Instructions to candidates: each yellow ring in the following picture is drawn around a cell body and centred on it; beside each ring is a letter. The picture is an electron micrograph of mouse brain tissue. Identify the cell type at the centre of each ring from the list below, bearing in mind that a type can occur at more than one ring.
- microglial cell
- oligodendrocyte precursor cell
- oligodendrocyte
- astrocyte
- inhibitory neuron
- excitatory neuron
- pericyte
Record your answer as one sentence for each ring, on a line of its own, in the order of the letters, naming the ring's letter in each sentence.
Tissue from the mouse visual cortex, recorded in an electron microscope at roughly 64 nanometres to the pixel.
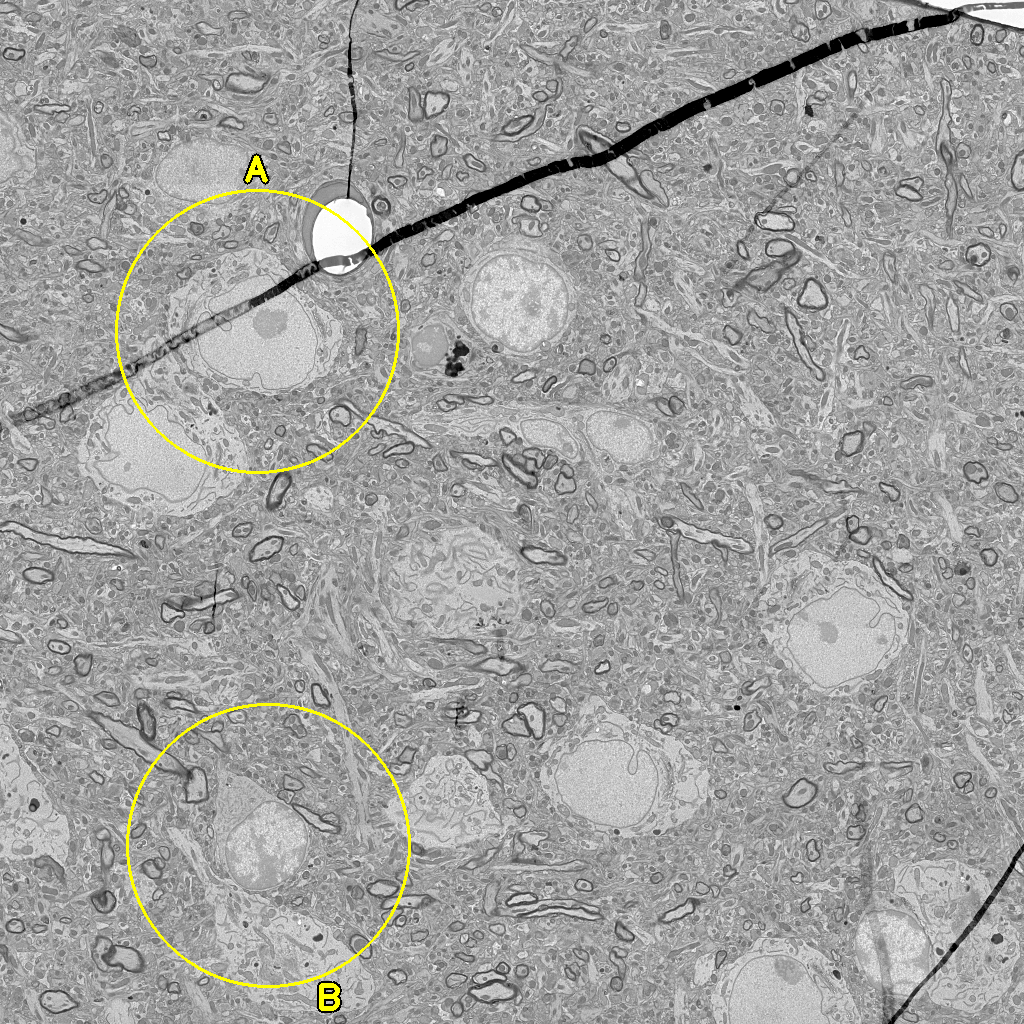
The cell centred in ring A is an excitatory neuron.
The cell centred in ring B is an oligodendrocyte.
